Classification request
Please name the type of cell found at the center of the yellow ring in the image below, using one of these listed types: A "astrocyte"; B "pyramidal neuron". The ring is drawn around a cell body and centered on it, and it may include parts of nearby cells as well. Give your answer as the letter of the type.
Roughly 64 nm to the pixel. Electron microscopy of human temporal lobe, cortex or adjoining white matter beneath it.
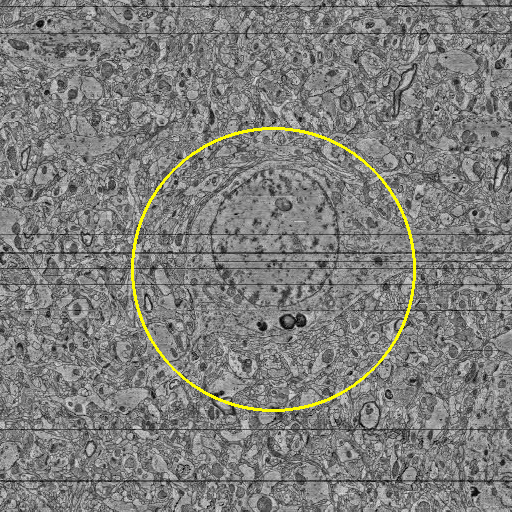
B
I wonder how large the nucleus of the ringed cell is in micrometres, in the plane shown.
About 9 micrometres across in this plane.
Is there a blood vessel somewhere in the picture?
No.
